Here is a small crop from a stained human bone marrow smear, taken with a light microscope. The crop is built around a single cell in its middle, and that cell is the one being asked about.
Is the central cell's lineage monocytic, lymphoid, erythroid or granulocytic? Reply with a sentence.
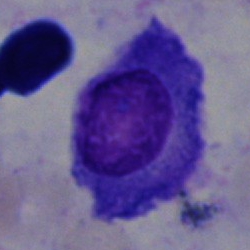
Lineage-wise, the cell in the center of the crop is lymphoid.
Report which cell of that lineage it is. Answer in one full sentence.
At the middle of the frame sits a plasma cell.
